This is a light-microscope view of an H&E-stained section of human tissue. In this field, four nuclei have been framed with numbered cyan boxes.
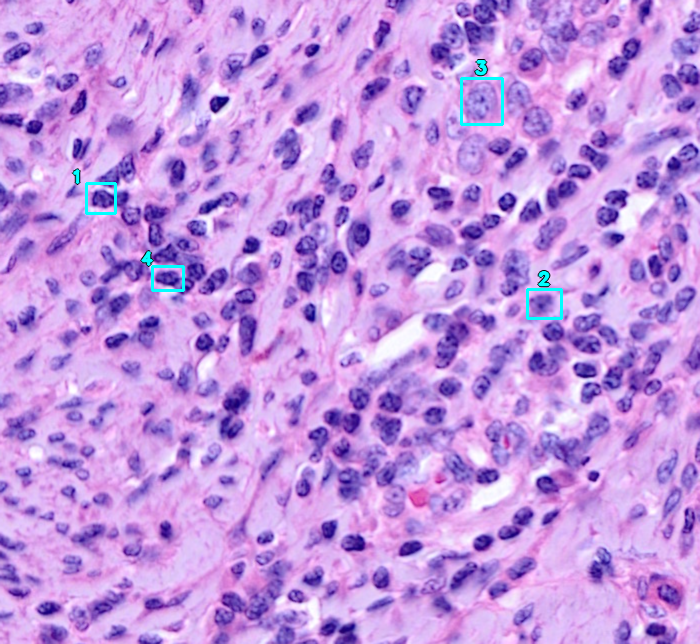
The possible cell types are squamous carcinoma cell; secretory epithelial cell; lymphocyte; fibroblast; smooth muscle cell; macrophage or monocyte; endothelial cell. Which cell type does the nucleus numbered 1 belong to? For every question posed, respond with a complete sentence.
Cell 1, as marked in the section, is a lymphocyte.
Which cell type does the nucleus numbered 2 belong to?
The numbered cell 2 in this field is a lymphocyte.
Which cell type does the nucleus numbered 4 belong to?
The correct answer for cell 4 is a lymphocyte.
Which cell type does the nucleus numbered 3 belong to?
The nucleus with number 3 is that of an endothelial cell.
